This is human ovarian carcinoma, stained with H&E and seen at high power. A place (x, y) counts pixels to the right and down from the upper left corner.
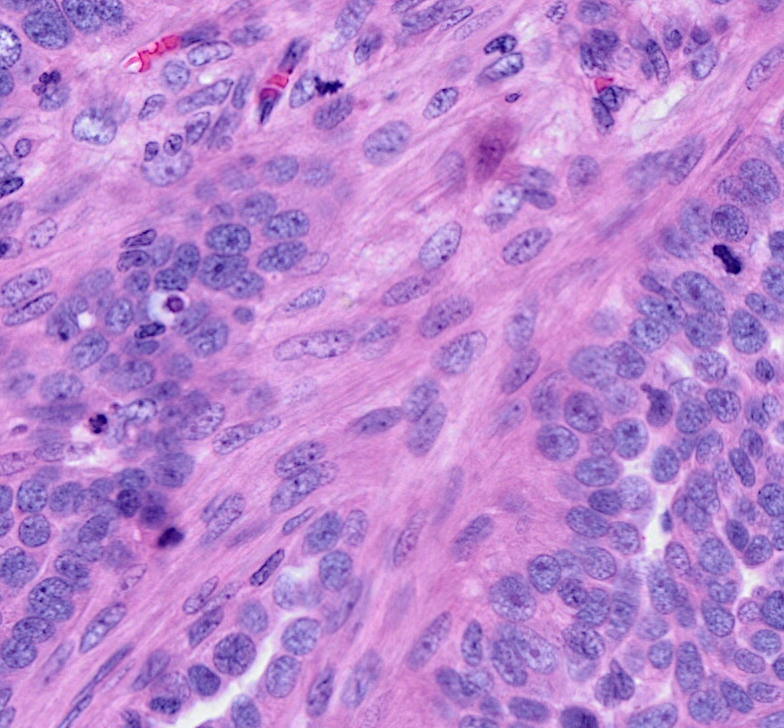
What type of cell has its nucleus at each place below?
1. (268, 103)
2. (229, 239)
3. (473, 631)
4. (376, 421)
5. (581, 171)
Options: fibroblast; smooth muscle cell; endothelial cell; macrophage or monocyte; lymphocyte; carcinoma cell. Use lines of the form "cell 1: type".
cell 1: endothelial cell
cell 2: carcinoma cell
cell 3: macrophage or monocyte
cell 4: fibroblast
cell 5: fibroblast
